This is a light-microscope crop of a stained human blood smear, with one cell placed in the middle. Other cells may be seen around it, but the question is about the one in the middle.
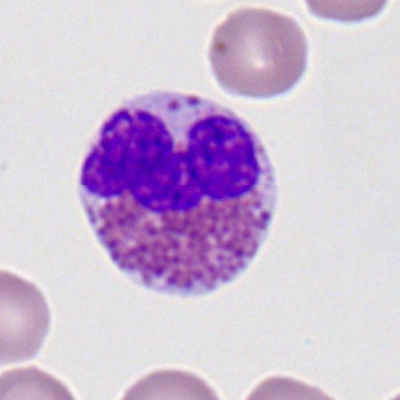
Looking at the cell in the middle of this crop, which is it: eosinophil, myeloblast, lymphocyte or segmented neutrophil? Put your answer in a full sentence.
Classified as an eosinophil is the cell in the middle of this crop.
